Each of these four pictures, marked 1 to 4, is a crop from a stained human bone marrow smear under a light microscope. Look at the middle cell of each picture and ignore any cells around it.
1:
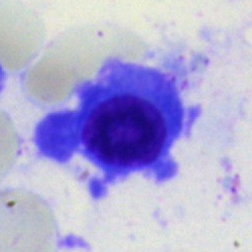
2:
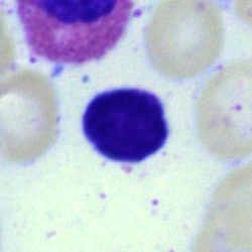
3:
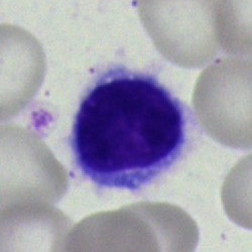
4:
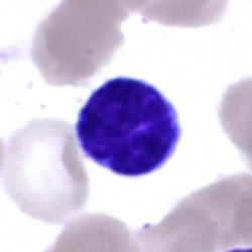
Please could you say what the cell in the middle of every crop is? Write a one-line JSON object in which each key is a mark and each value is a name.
{"1": "erythroblast", "2": "lymphocyte", "3": "hairy cell", "4": "lymphocyte"}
